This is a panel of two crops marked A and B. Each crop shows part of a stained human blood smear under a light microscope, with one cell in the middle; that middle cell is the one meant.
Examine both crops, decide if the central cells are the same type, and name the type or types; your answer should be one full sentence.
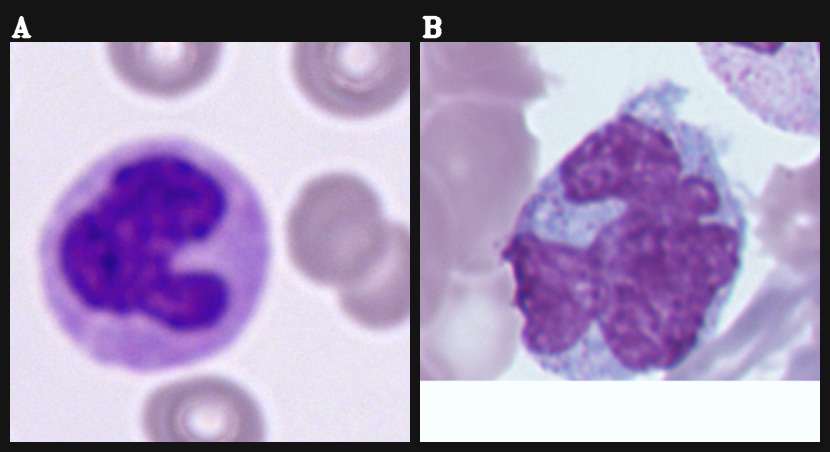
Yes, at the centre of both crops are monocytes.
